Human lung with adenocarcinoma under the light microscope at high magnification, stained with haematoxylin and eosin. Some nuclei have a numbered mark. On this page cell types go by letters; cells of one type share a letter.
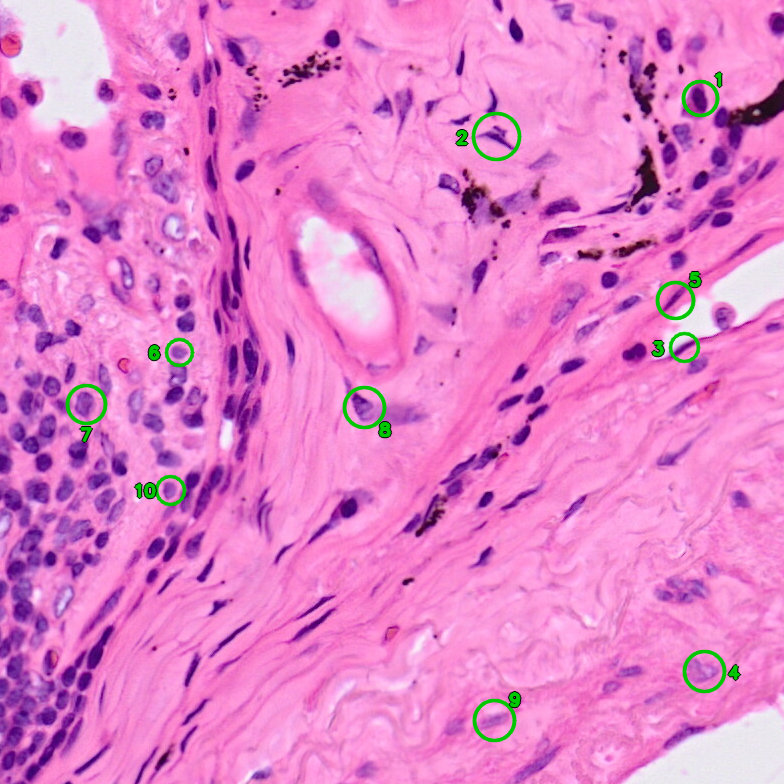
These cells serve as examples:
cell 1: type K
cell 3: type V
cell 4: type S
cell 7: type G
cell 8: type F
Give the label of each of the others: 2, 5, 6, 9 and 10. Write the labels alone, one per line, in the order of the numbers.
type F
type V
type G
type S
type G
